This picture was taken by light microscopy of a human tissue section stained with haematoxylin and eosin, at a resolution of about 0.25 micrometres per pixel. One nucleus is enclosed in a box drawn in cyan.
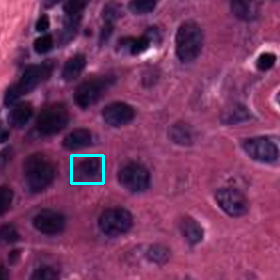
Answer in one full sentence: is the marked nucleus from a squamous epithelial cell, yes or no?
Yes, the marked nucleus is to be read as that of a squamous epithelial cell.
